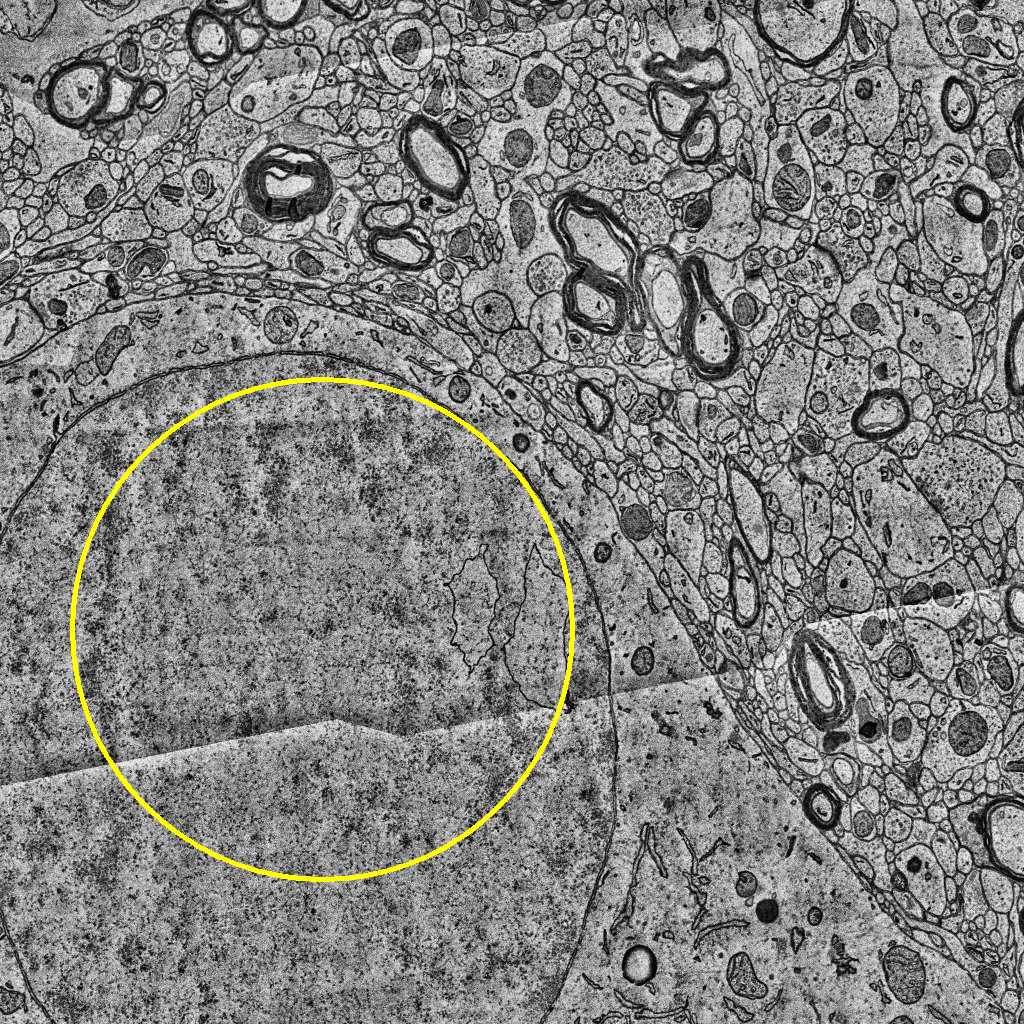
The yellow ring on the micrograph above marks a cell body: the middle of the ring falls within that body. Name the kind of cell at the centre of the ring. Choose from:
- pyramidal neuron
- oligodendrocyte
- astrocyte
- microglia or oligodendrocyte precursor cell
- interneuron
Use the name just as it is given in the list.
pyramidal neuron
